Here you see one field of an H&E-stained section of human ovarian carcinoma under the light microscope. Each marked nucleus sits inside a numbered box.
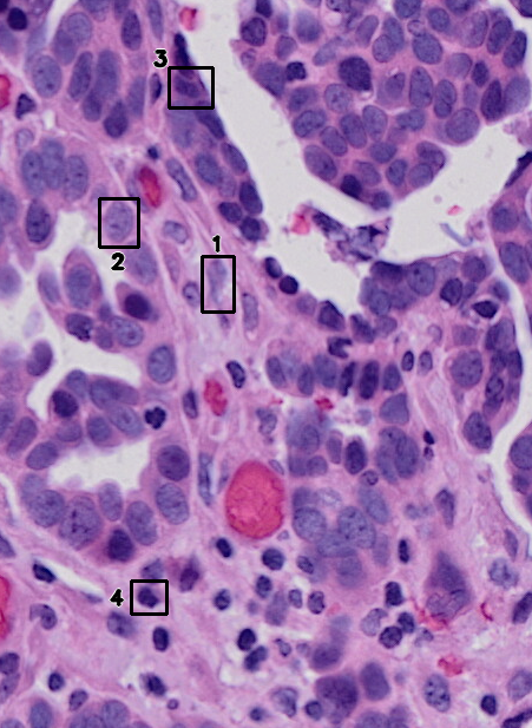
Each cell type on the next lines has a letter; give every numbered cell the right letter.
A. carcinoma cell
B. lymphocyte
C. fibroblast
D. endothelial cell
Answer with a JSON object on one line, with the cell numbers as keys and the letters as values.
{"1": "C", "2": "A", "3": "A", "4": "B"}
